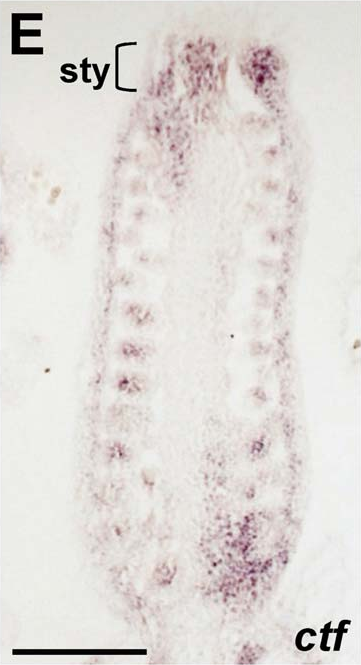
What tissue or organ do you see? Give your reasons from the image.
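An elongated organ with a narrower tip at the top. A regular row of small rounded bodies is spaced along each inner side. On this evidence: pistil.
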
